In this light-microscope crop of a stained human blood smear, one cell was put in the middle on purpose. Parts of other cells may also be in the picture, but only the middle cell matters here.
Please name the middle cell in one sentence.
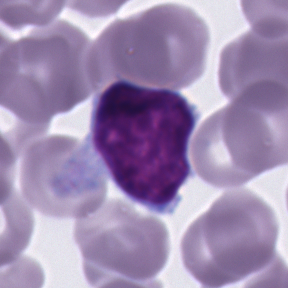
For this crop, the central cell is a typical lymphocyte.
